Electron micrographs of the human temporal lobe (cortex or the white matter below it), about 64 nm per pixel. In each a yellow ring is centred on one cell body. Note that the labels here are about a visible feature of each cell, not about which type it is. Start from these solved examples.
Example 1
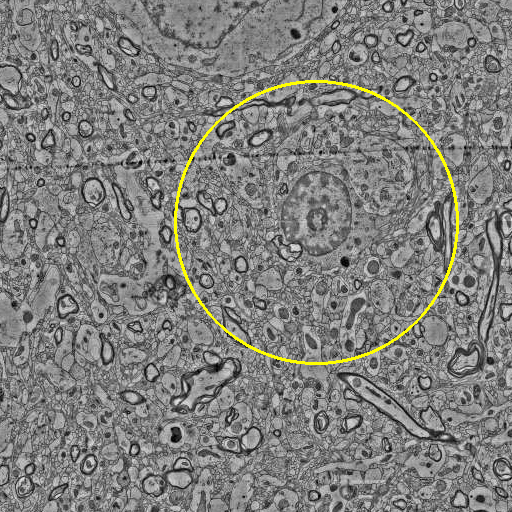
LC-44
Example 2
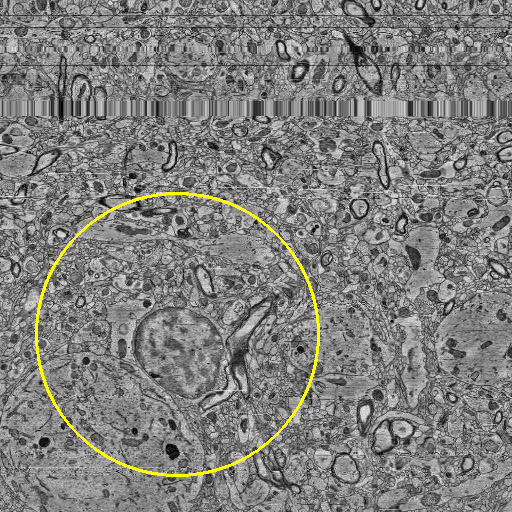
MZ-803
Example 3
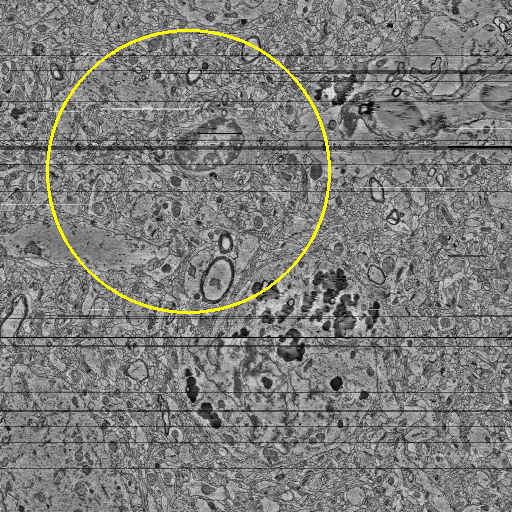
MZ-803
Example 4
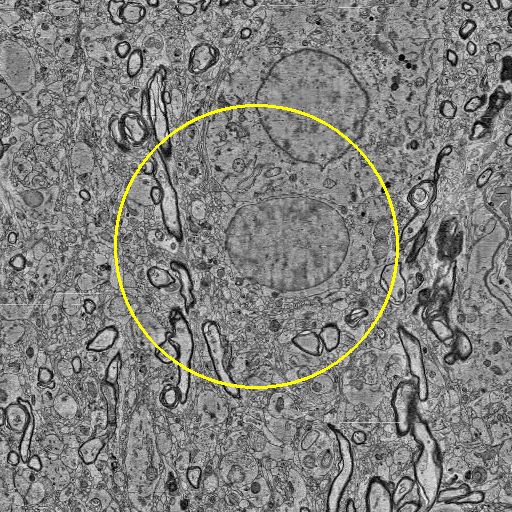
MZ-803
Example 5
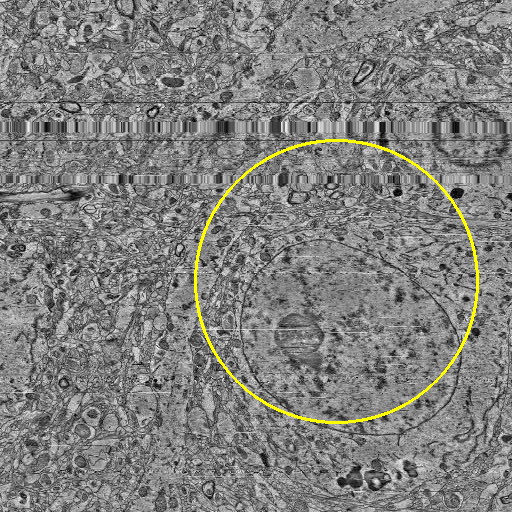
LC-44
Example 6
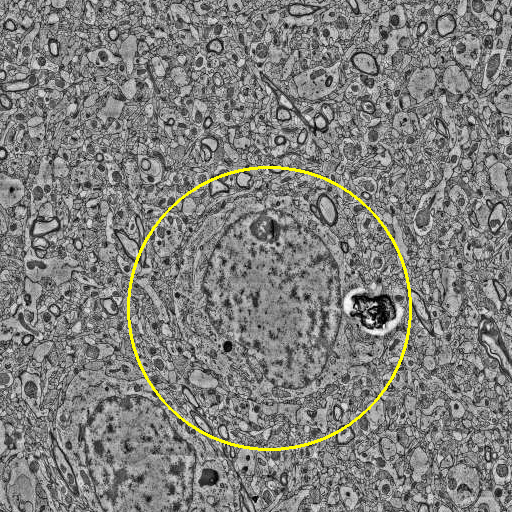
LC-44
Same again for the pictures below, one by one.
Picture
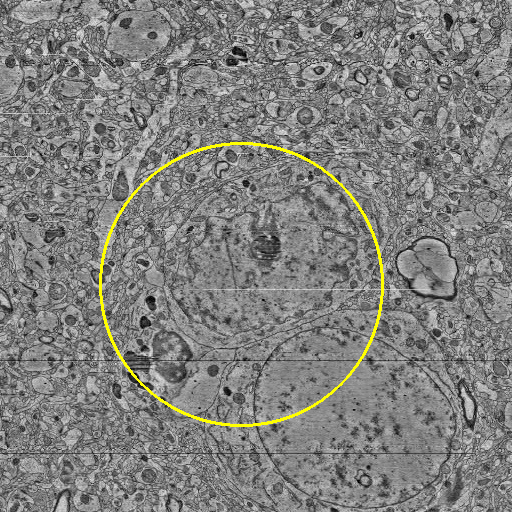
LC-44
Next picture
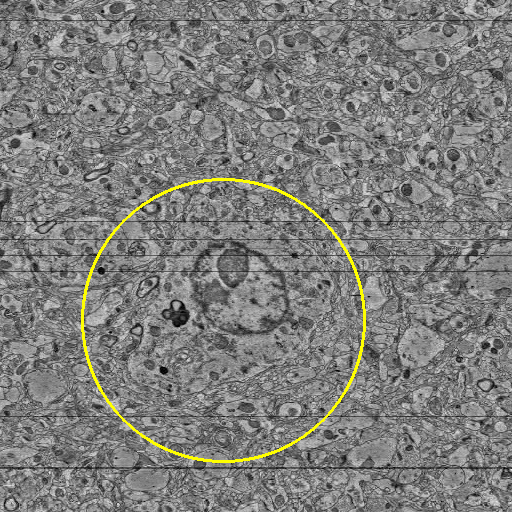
LC-44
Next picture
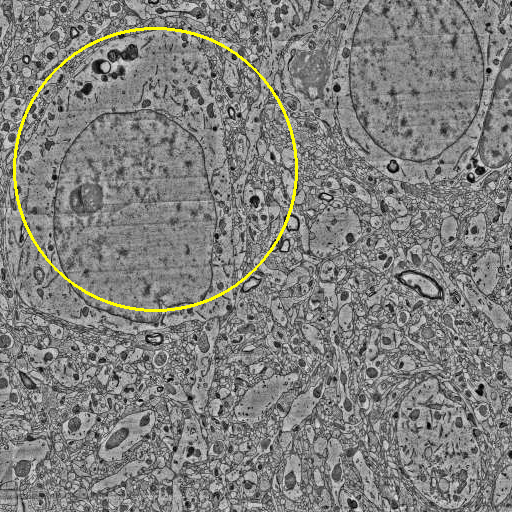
LC-44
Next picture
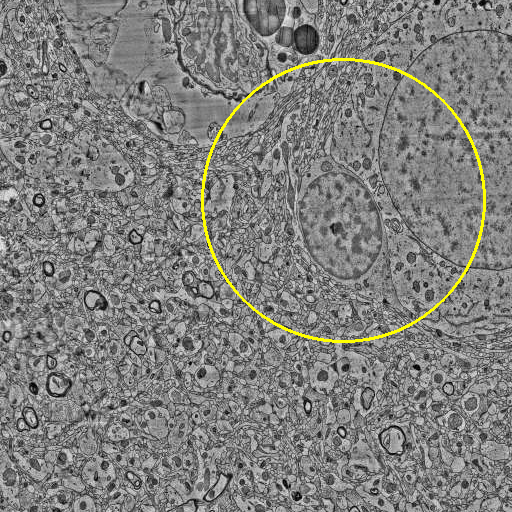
LC-44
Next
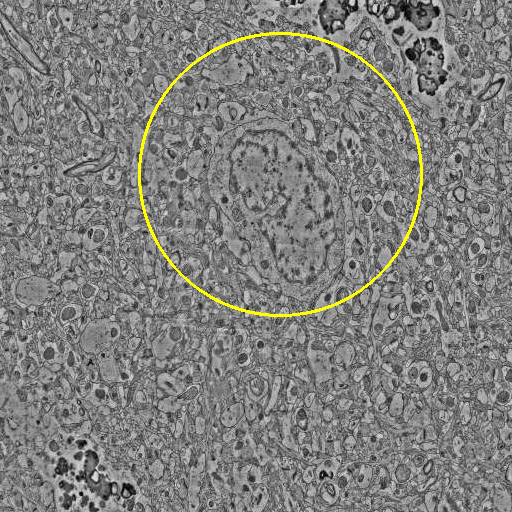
MZ-803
